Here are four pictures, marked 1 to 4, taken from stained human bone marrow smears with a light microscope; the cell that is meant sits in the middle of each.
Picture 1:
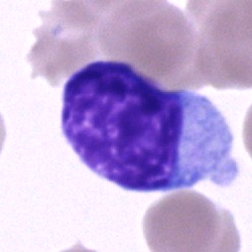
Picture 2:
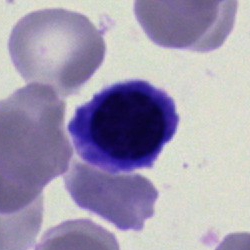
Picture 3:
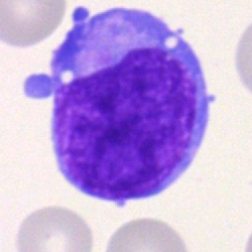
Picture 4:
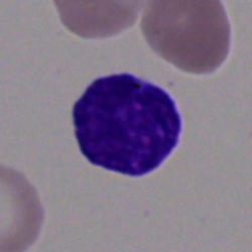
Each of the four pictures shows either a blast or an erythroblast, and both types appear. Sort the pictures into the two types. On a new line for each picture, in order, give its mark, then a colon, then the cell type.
1: blast
2: erythroblast
3: blast
4: blast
